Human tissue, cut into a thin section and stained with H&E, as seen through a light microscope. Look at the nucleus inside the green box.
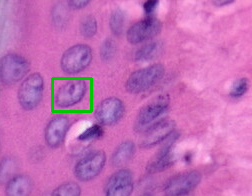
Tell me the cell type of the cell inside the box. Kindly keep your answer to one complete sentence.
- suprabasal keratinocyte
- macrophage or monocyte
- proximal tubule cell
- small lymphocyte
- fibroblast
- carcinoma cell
It is as a suprabasal keratinocyte that the cell inside the box is recorded.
